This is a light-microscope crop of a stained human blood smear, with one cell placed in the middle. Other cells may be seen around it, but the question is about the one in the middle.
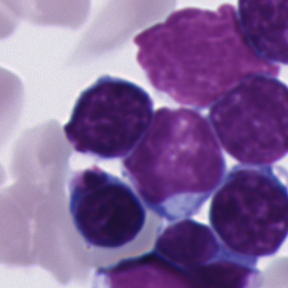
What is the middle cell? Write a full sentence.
This crop's central cell is a myeloblast.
